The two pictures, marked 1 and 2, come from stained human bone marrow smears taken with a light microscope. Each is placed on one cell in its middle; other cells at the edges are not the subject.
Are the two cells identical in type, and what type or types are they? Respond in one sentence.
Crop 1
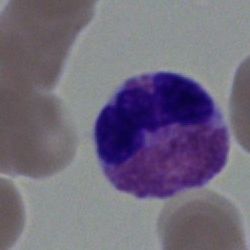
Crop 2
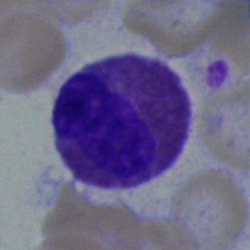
Yes, both crops show eosinophils, and that holds for each one.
